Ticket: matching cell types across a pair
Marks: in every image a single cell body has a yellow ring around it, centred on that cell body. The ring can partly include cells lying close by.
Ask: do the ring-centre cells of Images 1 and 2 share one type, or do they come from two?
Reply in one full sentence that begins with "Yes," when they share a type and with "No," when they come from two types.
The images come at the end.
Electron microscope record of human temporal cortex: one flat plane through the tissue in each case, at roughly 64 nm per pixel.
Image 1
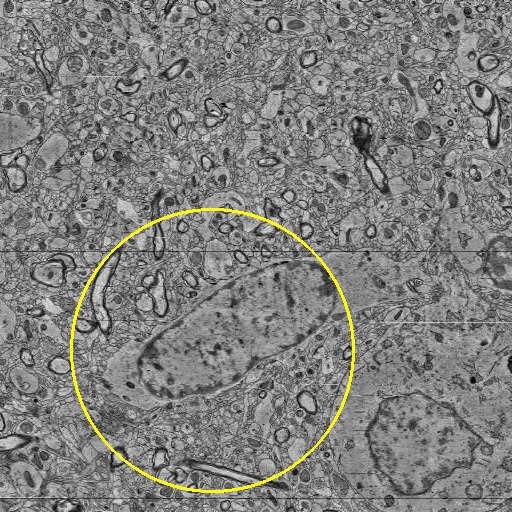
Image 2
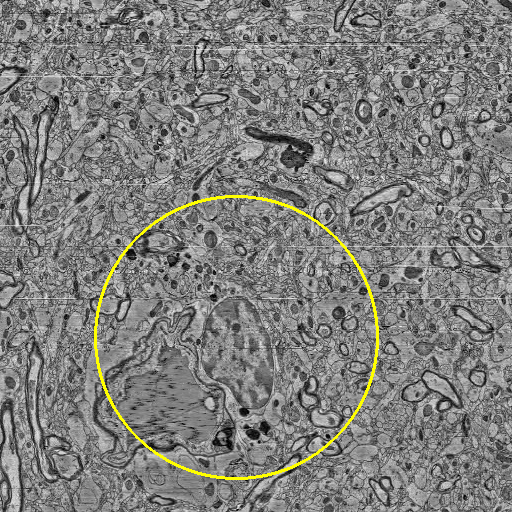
Yes, the cells in the centres of the rings in Image 1 and Image 2 share one type.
